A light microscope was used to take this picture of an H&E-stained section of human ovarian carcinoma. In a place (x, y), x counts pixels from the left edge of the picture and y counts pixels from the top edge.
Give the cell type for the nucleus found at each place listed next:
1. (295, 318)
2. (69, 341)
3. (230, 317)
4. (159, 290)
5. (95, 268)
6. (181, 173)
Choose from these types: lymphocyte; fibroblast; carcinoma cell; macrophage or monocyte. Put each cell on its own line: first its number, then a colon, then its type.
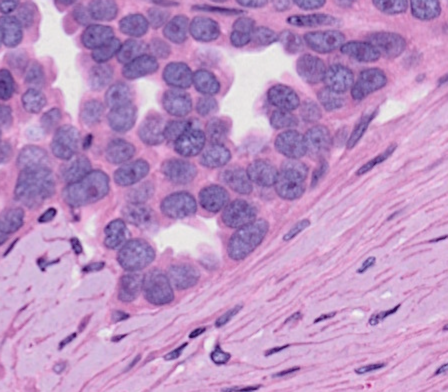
1: fibroblast
2: fibroblast
3: fibroblast
4: carcinoma cell
5: fibroblast
6: carcinoma cell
